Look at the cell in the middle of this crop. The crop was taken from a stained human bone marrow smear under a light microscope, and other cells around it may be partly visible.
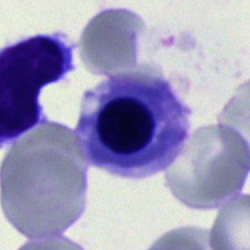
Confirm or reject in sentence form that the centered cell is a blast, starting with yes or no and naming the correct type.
No, the cell in the middle should be called an erythroblast instead of a blast.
